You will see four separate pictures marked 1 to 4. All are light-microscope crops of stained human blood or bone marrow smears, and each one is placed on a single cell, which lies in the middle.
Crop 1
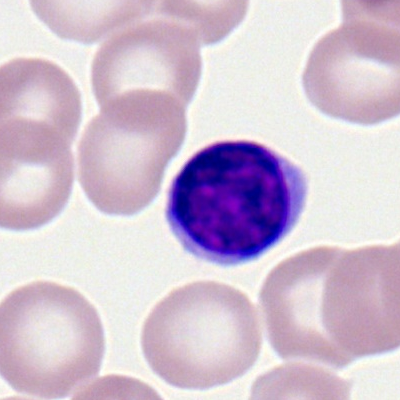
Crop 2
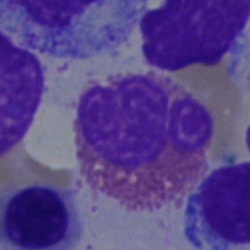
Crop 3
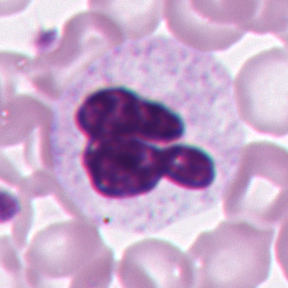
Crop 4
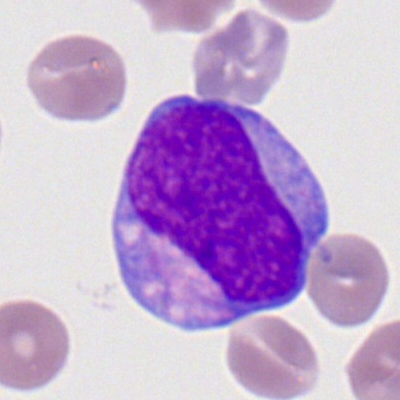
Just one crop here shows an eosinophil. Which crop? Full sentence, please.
Among all the crops given here, the one with an eosinophil is crop 2.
